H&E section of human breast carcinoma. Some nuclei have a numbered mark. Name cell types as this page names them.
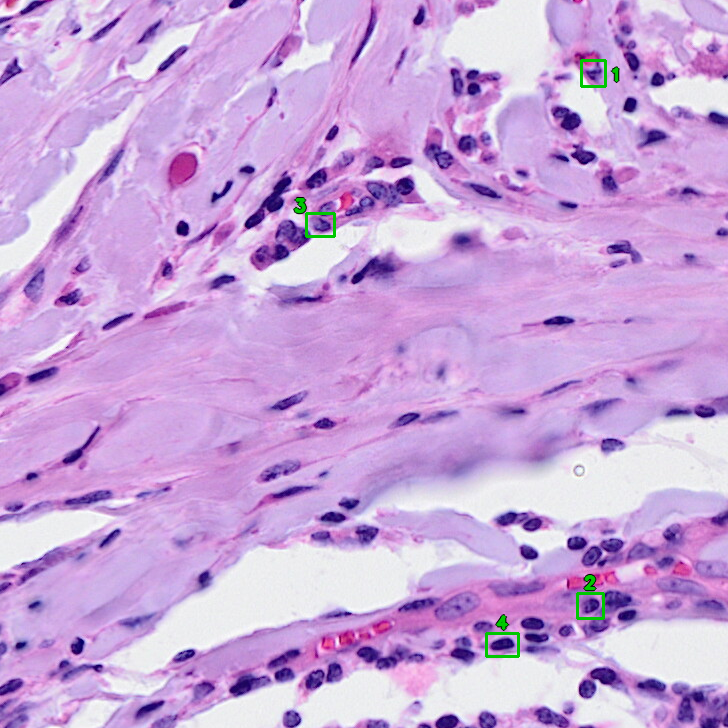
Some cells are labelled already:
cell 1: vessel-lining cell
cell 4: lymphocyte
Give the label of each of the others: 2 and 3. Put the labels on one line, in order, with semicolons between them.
lymphocyte; vessel-lining cell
